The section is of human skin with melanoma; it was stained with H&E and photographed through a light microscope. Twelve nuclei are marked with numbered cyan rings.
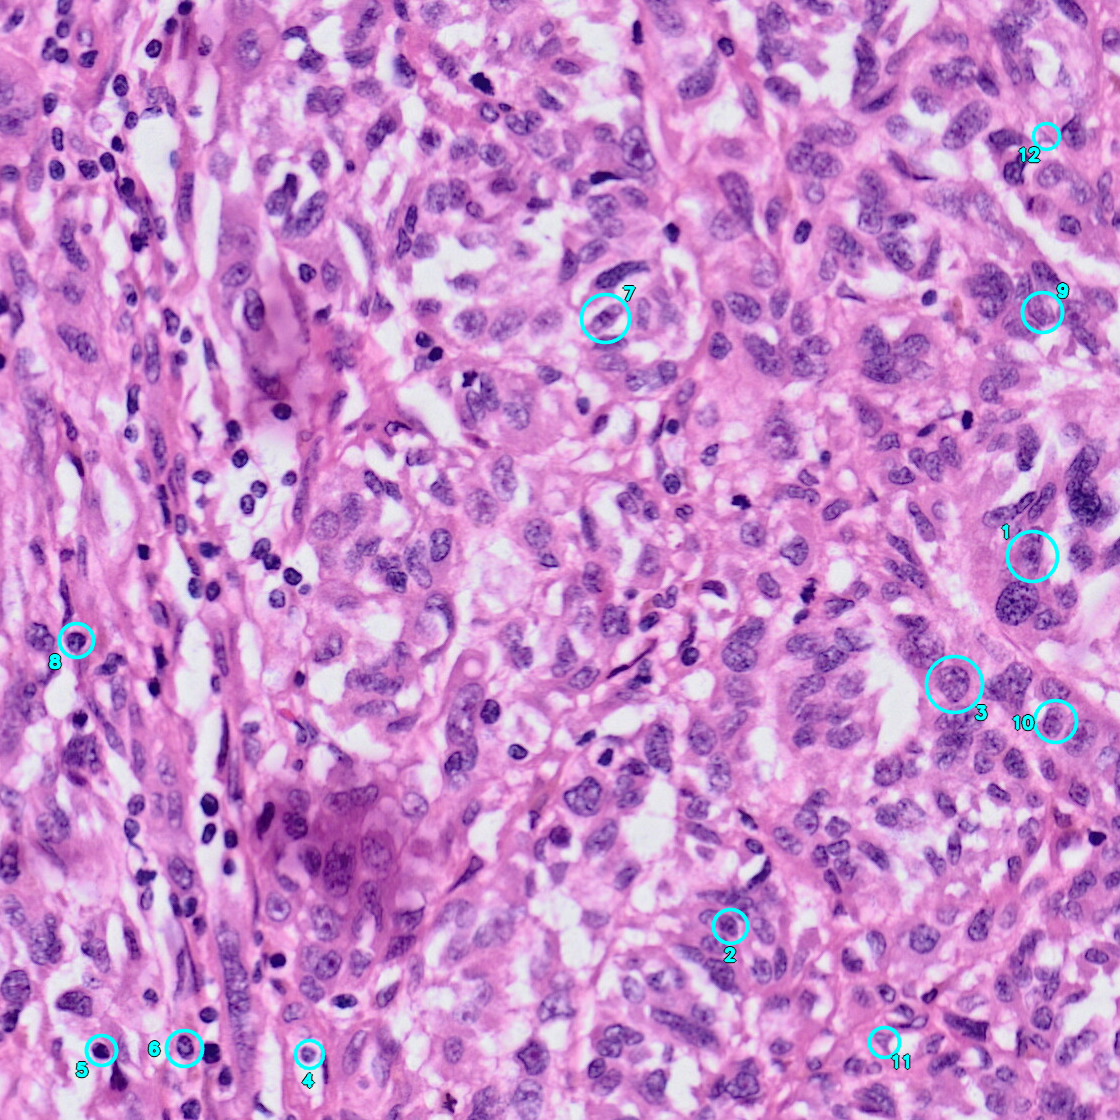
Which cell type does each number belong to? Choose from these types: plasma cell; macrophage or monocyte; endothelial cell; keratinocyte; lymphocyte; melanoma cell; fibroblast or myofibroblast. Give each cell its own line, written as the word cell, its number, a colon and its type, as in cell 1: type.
cell 1: melanoma cell
cell 2: melanoma cell
cell 3: melanoma cell
cell 4: lymphocyte
cell 5: lymphocyte
cell 6: lymphocyte
cell 7: melanoma cell
cell 8: lymphocyte
cell 9: melanoma cell
cell 10: melanoma cell
cell 11: endothelial cell
cell 12: melanoma cell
